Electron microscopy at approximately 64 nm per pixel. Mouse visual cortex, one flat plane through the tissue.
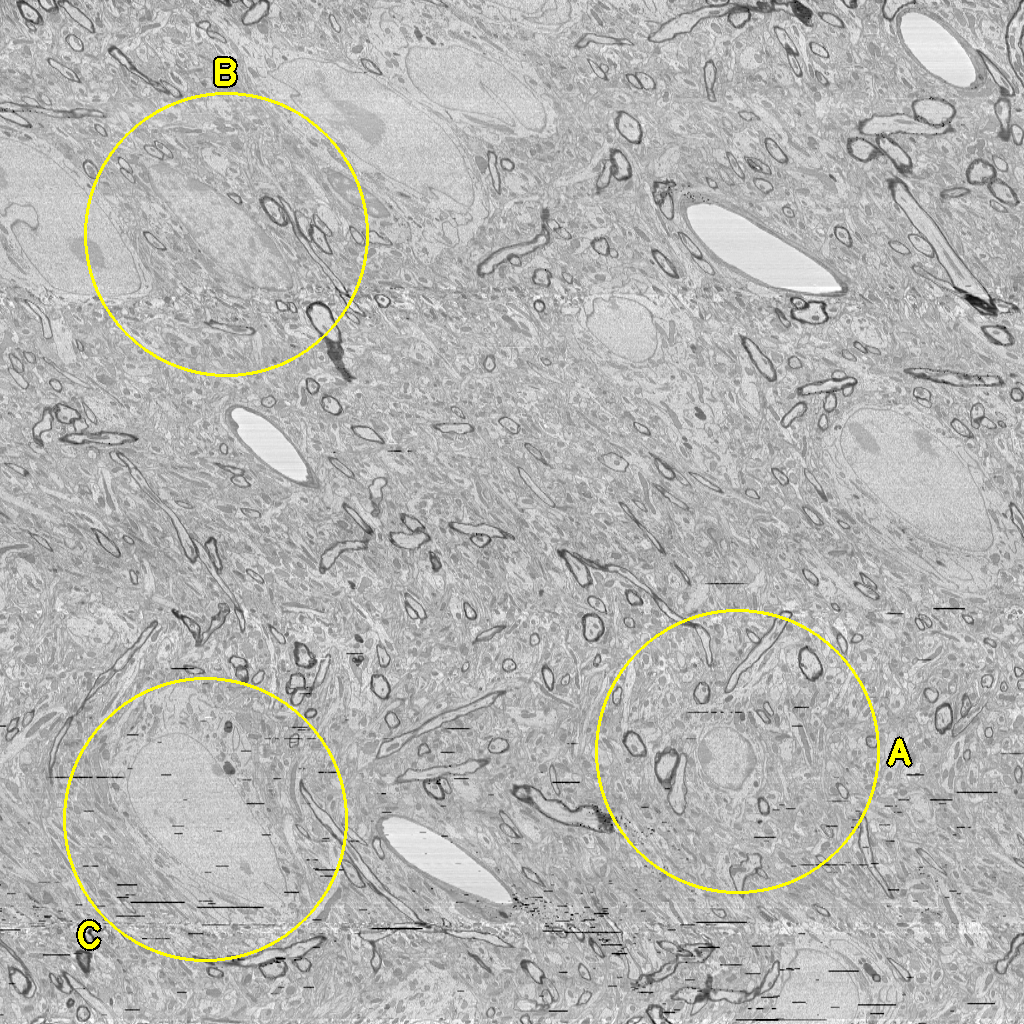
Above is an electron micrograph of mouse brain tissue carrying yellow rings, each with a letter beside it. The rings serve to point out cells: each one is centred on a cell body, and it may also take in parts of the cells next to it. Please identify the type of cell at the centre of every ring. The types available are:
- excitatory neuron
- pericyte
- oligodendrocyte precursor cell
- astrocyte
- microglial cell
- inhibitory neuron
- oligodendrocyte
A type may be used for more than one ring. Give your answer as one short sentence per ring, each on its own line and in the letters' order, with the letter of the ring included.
Ring A points to the cell body of an oligodendrocyte precursor cell.
Ring B points to the cell body of an oligodendrocyte.
Ring C points to the cell body of an excitatory neuron.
